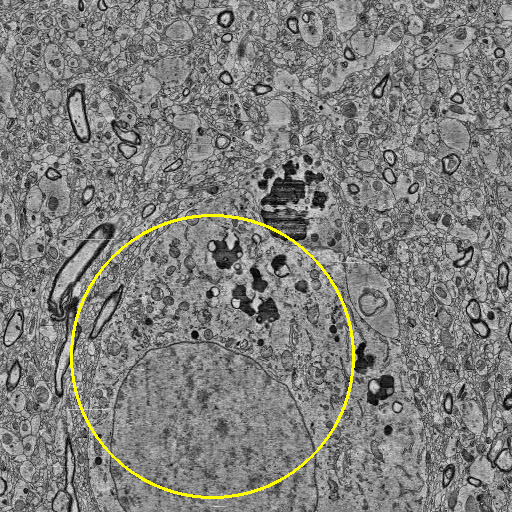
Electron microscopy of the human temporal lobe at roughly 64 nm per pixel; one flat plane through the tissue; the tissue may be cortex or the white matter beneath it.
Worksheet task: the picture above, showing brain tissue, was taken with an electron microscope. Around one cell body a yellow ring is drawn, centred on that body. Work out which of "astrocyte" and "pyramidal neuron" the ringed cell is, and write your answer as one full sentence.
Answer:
It is a pyramidal neuron whose cell body lies at the centre of the yellow ring.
